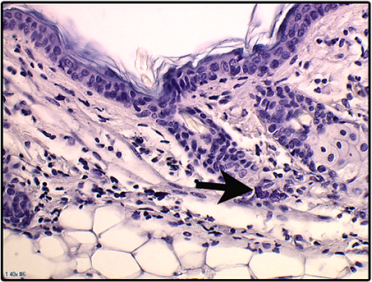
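This section of skin shows a stratified epidermis at the top, with flaky keratin above it and its basal cells packed with purple nuclei. Epithelium of a hair follicle dips down into the dermis beneath. The dermis holds many spindle-shaped and rounded cells with dark nuclei scattered among pale pink fibres. At the bottom lies a row of large, clear, empty-looking fat cells, and close above them a dark purple degranulated mast cell.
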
